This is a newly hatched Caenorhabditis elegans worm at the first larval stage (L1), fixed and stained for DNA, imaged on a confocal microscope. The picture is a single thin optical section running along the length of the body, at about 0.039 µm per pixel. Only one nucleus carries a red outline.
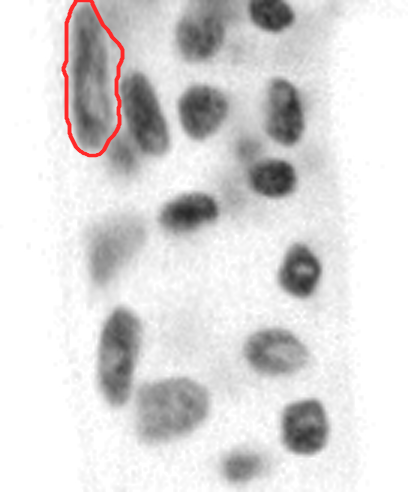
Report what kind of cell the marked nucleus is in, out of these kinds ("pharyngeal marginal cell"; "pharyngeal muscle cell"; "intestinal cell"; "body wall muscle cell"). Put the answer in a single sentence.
What is marked is the nucleus of a body wall muscle cell.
